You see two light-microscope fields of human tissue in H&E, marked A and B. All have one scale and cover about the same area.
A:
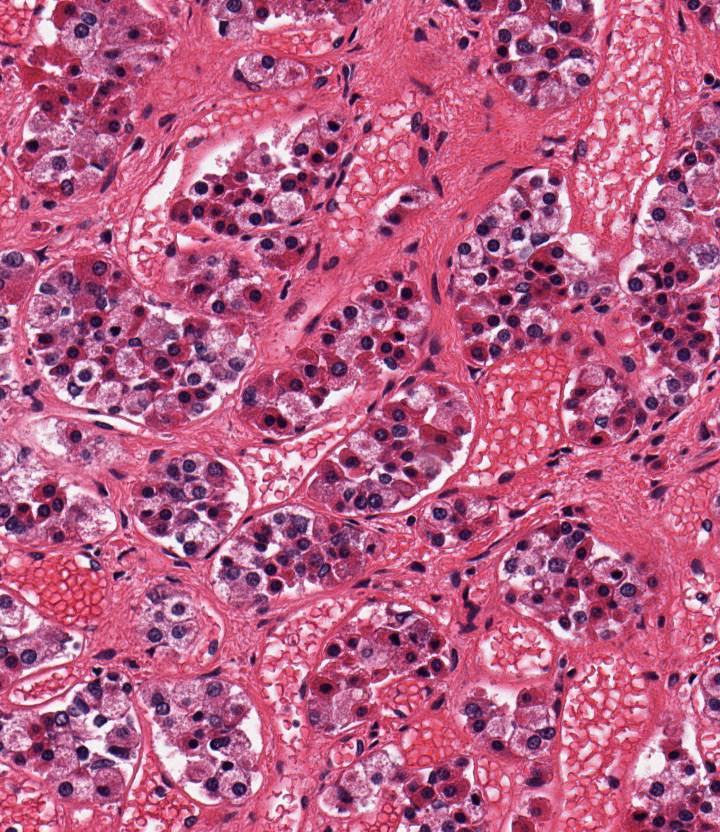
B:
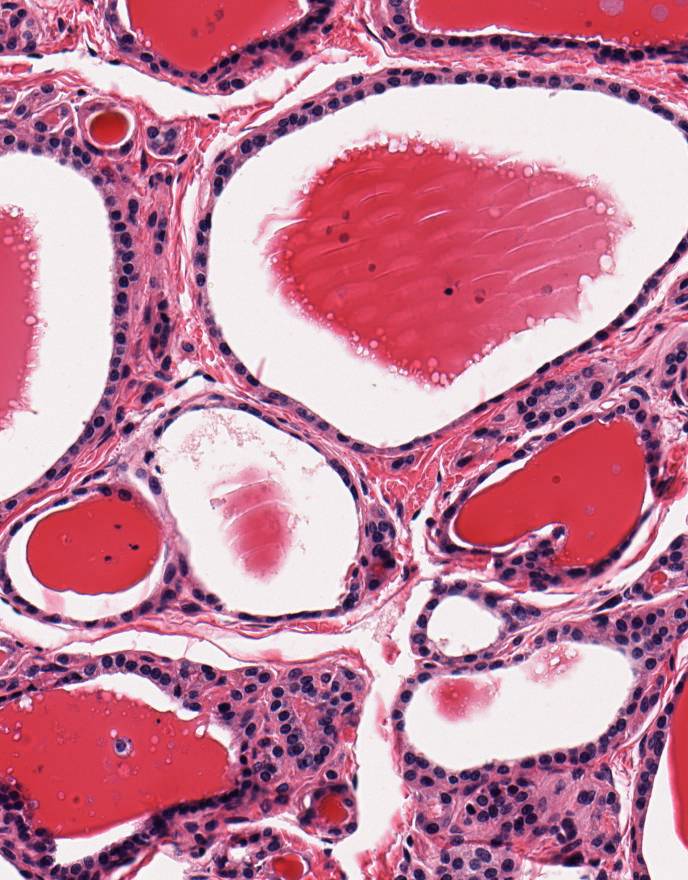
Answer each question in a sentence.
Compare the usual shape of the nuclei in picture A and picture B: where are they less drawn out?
On the whole the nuclei of picture A are rounder than those of picture B.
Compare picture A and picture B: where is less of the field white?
It is picture A that stained tissue fills more completely.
